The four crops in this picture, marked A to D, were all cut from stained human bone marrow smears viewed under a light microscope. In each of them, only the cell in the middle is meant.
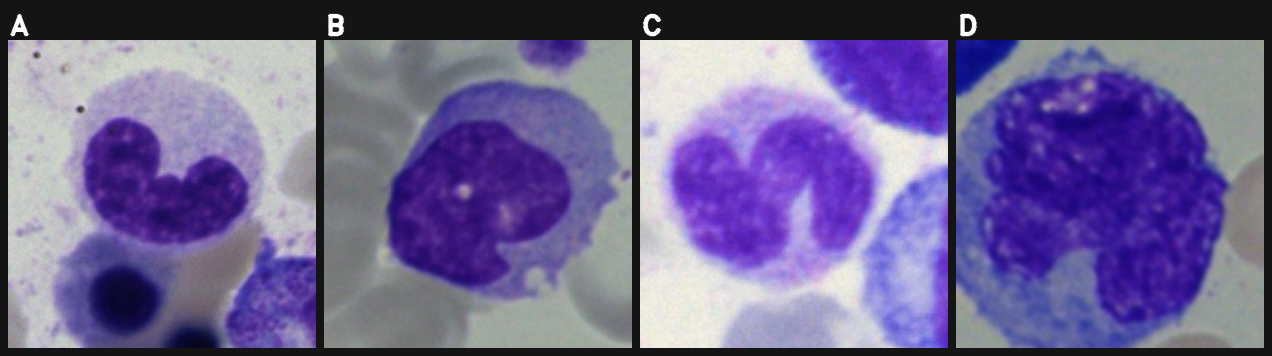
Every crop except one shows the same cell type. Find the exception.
A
